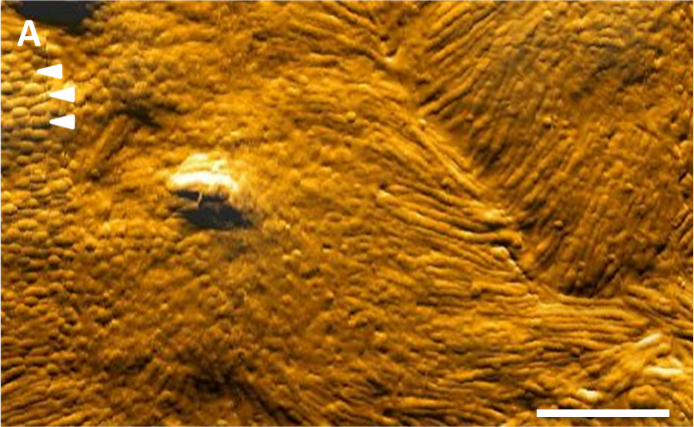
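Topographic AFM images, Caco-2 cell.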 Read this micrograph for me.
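The surface of an intestinal-type epithelial cell is seen in relief, with small rounded knobs packed closely together, best seen at the upper left where they lie in tight rows. Elsewhere the surface is ridged and furrowed, with streaks running in sweeping bundles and a small dark hollow near the middle. The crowded knobs are the tips of upright microvilli, forming a well-differentiated brush border over the cell surface.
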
